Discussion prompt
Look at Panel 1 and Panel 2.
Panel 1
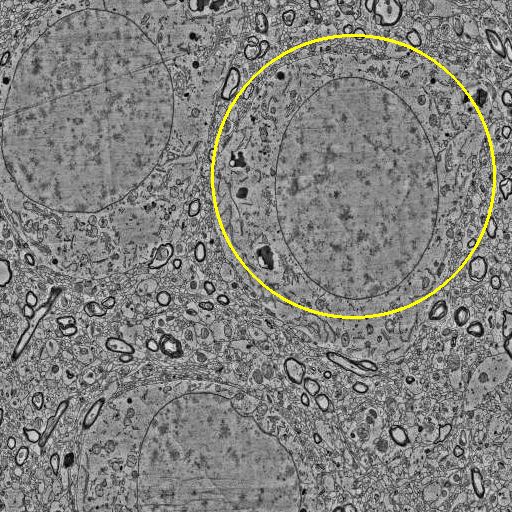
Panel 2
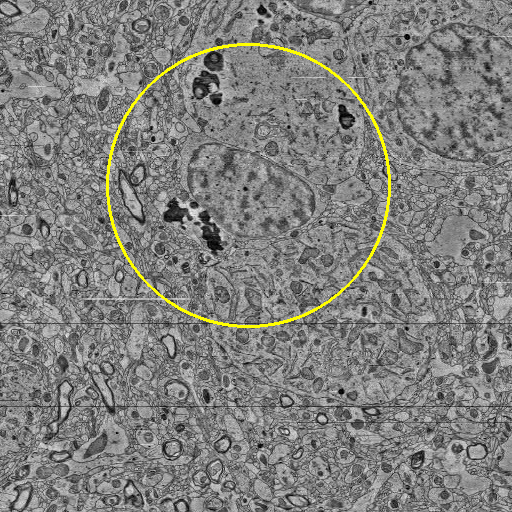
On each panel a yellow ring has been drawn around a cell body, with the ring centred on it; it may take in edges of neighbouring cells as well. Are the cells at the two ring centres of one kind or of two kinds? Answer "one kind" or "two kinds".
two kinds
